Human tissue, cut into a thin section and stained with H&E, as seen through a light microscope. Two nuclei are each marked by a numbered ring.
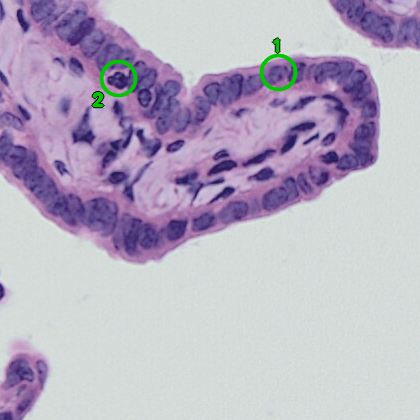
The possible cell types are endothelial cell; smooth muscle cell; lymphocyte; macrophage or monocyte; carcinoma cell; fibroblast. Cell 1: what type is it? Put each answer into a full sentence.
The cell whose nucleus carries the number 1 is a carcinoma cell.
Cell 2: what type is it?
At number 2, the marked cell is a lymphocyte.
